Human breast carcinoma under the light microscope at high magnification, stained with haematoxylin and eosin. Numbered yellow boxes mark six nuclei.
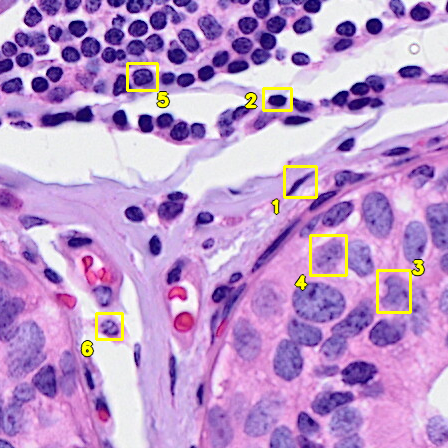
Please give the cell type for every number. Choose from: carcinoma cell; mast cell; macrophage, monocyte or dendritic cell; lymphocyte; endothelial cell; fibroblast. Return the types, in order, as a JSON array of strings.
["fibroblast", "lymphocyte", "carcinoma cell", "carcinoma cell", "lymphocyte", "mast cell"]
